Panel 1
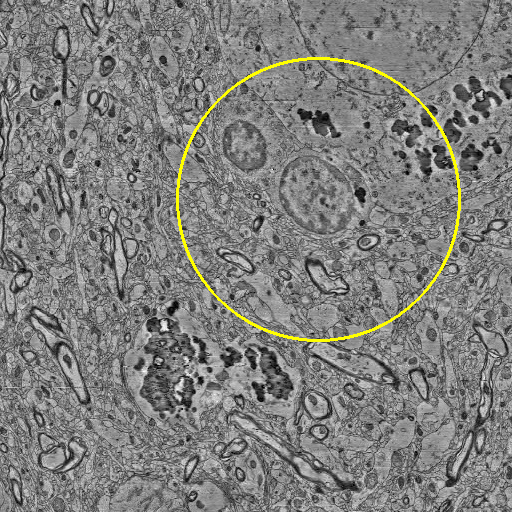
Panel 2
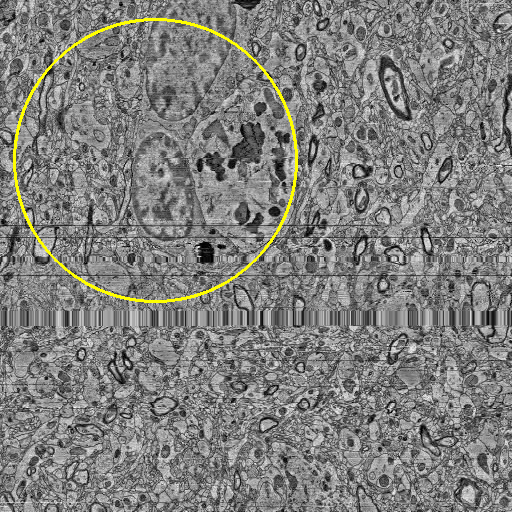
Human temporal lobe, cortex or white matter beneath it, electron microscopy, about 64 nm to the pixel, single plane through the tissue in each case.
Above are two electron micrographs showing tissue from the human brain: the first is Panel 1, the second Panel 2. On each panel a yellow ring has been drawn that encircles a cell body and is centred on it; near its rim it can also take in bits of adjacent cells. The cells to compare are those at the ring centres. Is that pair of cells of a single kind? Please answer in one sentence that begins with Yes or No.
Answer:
Yes, the ring-centred cells of Panel 1 and Panel 2 belong to one kind.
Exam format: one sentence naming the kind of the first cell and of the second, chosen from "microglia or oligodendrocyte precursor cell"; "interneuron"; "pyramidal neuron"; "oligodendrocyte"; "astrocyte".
Each of the two pictures has an oligodendrocyte at the ring centre.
